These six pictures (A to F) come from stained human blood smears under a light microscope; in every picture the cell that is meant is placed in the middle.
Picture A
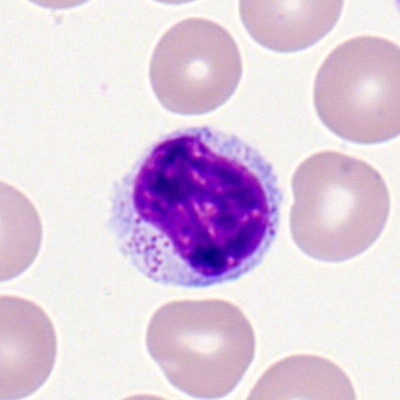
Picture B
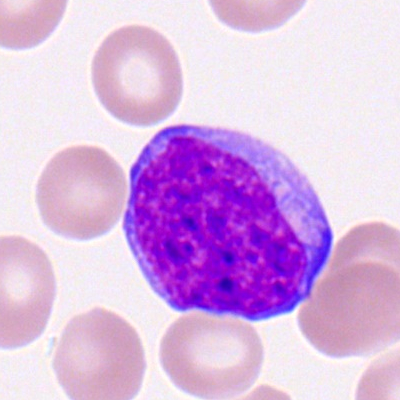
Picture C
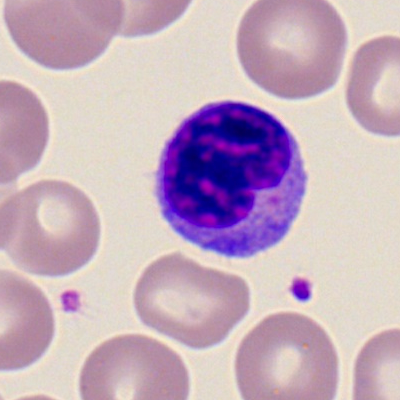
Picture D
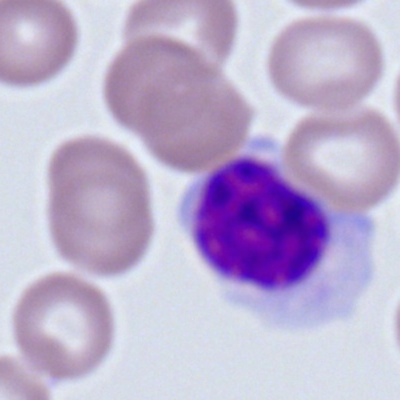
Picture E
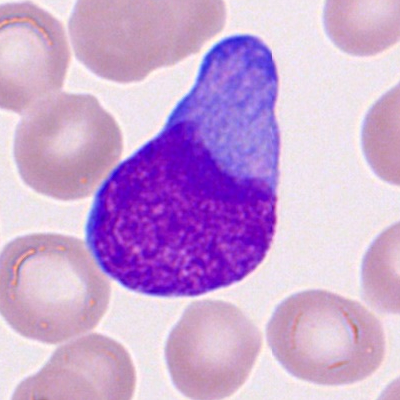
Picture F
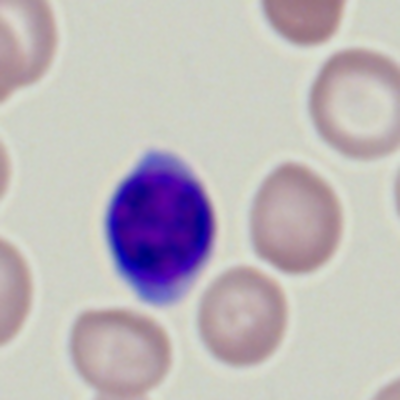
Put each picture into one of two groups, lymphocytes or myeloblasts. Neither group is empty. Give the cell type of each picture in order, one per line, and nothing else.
lymphocyte
myeloblast
lymphocyte
lymphocyte
myeloblast
lymphocyte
